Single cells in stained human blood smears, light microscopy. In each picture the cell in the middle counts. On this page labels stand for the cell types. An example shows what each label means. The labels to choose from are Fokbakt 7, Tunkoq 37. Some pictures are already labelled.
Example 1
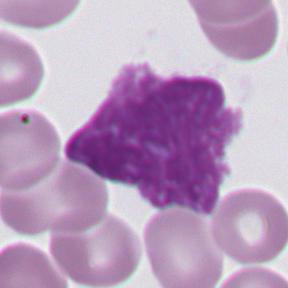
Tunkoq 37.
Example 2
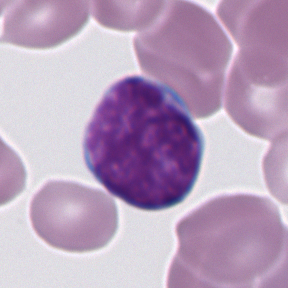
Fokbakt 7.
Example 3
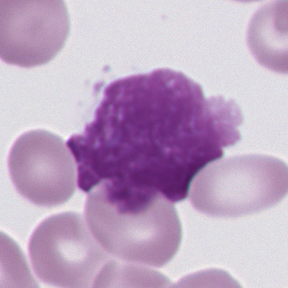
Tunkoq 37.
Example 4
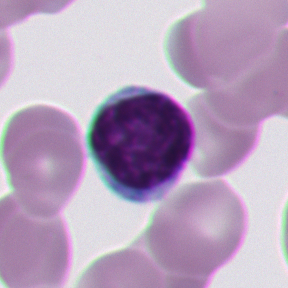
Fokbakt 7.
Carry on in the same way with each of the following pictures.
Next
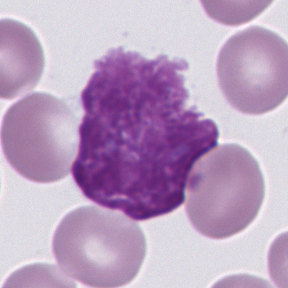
Tunkoq 37.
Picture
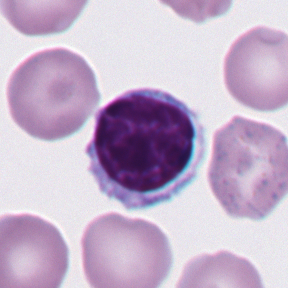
Fokbakt 7.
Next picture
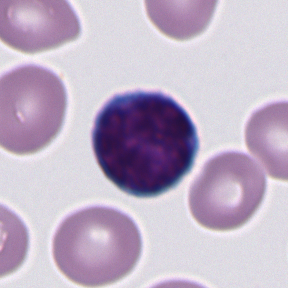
Fokbakt 7.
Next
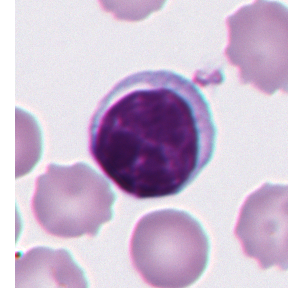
Fokbakt 7.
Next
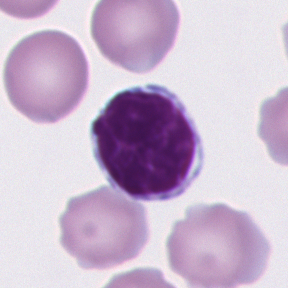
Fokbakt 7.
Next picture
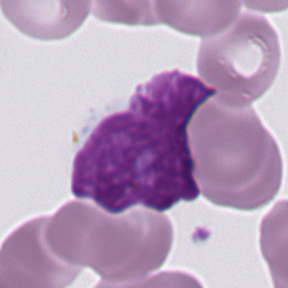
Tunkoq 37.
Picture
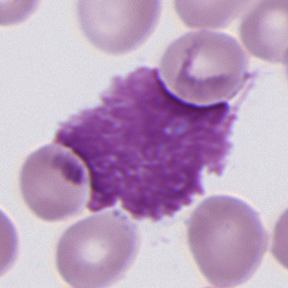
Tunkoq 37.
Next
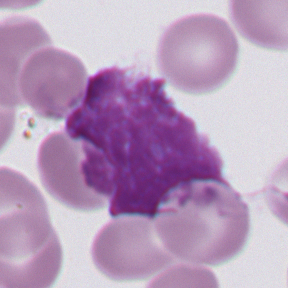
Tunkoq 37.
